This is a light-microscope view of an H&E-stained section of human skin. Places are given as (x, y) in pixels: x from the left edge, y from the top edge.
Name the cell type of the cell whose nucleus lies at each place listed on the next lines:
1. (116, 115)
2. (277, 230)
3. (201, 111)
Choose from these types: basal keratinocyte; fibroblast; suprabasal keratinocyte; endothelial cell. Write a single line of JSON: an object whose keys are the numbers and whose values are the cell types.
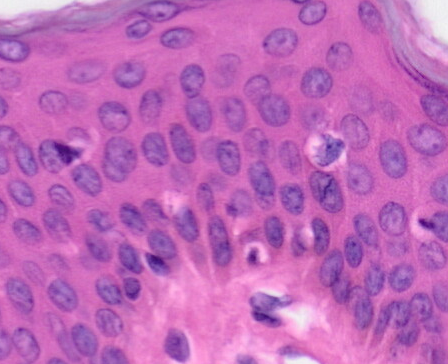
{"1": "suprabasal keratinocyte", "2": "basal keratinocyte", "3": "suprabasal keratinocyte"}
